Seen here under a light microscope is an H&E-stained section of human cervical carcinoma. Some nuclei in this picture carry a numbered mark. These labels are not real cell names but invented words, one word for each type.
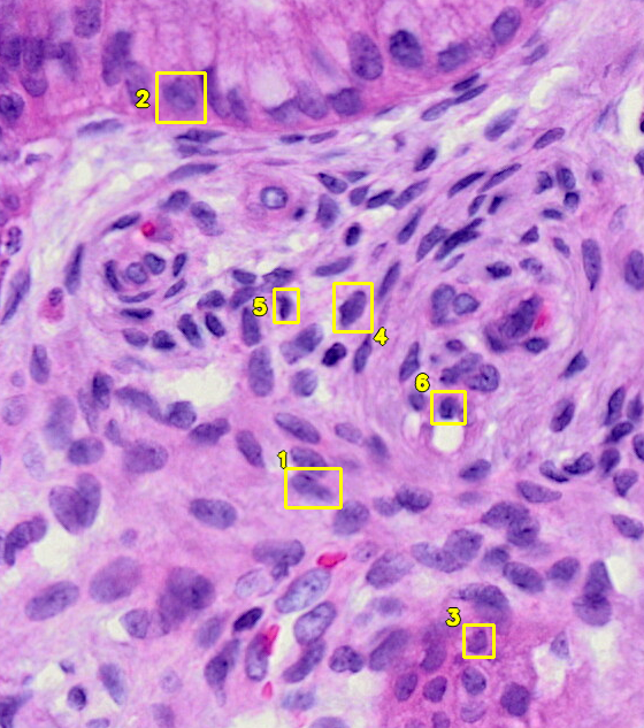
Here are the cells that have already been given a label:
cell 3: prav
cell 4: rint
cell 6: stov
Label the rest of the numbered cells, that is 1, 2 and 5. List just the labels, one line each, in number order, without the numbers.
rint
prav
rint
